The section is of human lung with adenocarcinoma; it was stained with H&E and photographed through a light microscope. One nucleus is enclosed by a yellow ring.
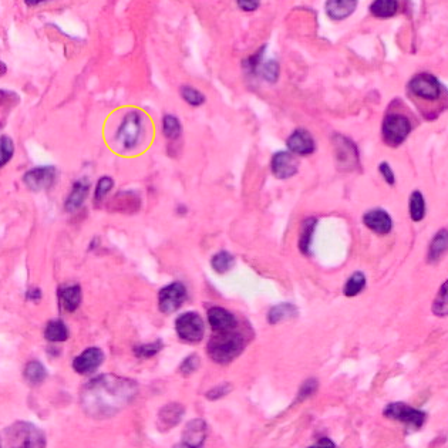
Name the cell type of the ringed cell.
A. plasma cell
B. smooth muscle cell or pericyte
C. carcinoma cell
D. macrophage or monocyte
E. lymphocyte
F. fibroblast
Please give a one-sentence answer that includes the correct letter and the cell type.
In the section, the ringed cell is a fibroblast, and option F is correct accordingly.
